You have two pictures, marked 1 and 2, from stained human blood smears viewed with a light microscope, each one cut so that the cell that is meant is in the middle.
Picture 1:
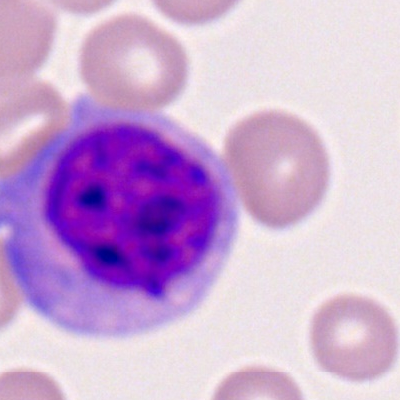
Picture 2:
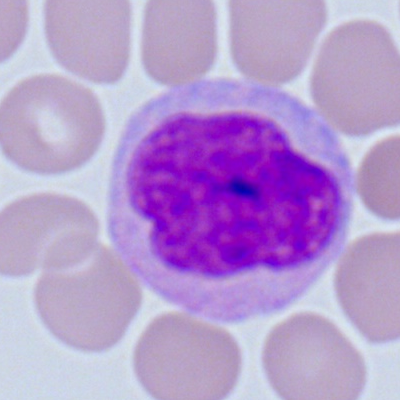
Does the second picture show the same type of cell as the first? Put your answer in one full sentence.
Yes; the cells in both pictures are monocytes.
